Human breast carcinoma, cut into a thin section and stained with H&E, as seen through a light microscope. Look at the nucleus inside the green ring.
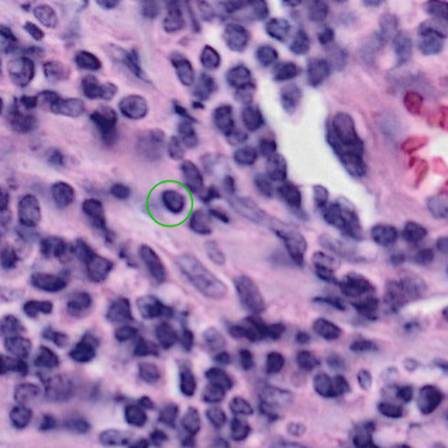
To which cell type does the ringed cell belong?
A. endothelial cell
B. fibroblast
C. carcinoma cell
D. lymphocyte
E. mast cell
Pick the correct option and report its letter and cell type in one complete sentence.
Since the ringed cell is a lymphocyte, the right option is D.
